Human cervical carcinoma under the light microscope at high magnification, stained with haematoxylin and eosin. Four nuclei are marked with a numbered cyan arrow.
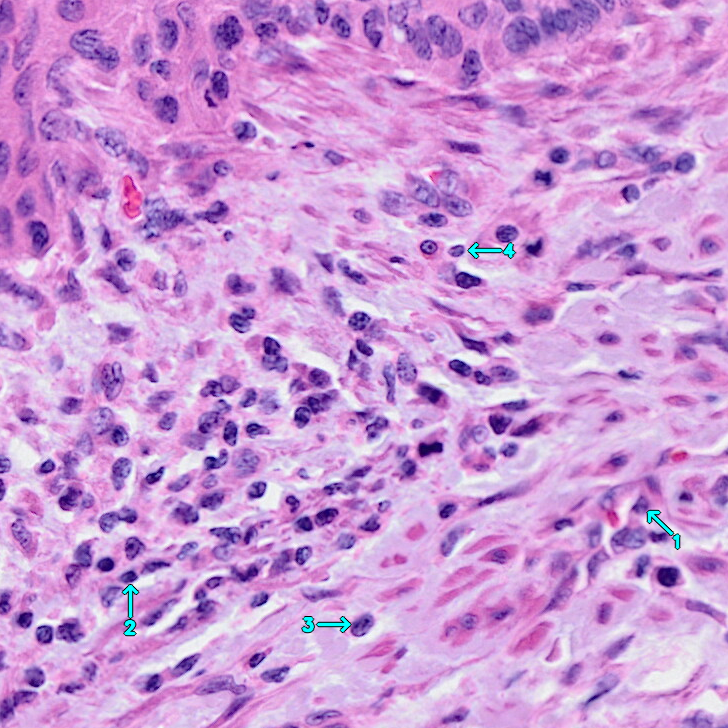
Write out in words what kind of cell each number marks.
Cell 1 is an endothelial cell. Cells 2, 3 and 4 are lymphocytes.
